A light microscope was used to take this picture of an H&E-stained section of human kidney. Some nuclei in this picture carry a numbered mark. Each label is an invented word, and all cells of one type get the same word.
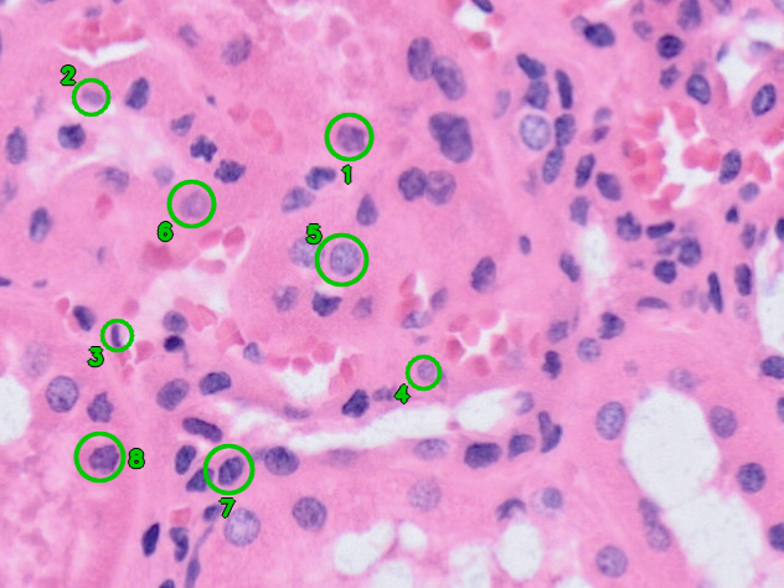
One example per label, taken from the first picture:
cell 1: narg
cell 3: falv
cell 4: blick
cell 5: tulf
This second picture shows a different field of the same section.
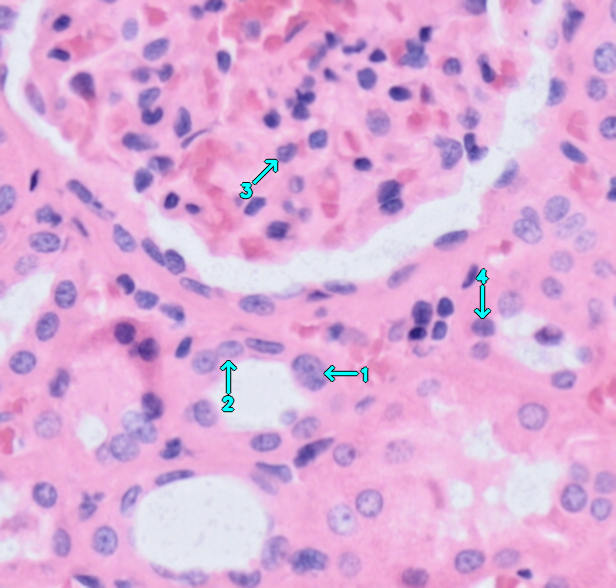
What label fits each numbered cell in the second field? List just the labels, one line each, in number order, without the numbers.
blick
blick
falv
tulf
